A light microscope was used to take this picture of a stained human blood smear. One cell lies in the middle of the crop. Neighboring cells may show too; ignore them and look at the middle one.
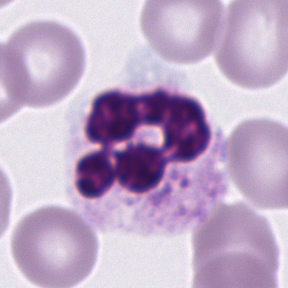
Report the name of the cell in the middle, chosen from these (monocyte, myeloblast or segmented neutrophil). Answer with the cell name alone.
segmented neutrophil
